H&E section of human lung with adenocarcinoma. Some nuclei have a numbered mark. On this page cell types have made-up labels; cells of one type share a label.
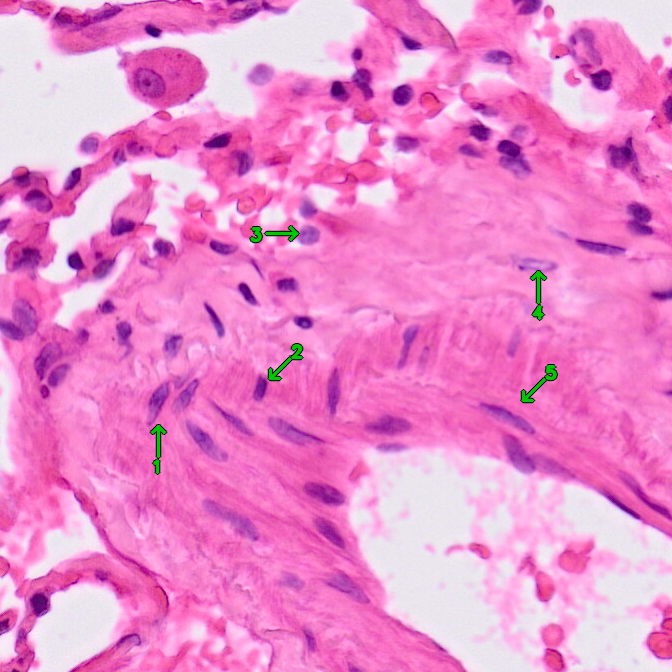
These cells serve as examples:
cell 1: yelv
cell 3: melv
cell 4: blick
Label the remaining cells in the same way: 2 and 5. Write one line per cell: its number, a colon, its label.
2: yelv
5: yelv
